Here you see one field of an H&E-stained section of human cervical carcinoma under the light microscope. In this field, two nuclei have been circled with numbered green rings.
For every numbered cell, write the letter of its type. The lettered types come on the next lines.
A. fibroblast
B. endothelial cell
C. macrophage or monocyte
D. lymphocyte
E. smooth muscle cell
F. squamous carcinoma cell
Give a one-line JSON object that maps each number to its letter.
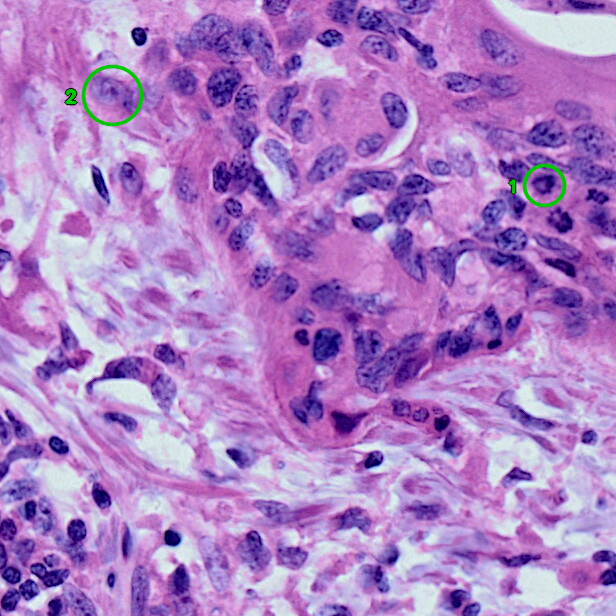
{"1": "F", "2": "A"}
